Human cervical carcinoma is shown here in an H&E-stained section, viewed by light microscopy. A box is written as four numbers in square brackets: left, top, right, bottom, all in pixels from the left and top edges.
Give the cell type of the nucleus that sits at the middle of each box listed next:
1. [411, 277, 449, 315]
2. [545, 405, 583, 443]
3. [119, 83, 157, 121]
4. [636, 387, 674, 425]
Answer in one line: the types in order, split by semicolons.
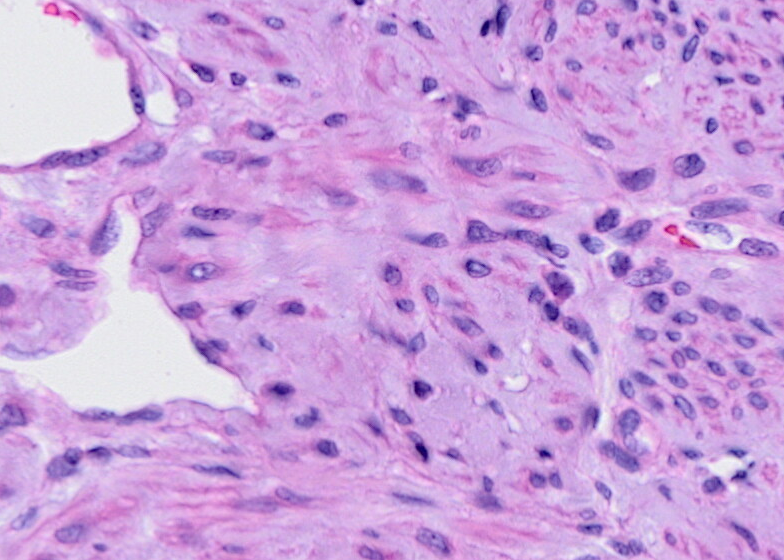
smooth muscle cell; smooth muscle cell; endothelial cell; smooth muscle cell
